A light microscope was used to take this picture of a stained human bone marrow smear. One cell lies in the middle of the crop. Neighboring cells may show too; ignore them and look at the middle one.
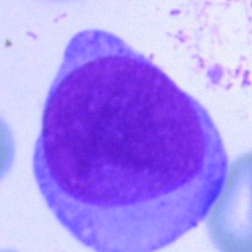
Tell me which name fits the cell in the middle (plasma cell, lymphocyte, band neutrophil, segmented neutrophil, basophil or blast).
blast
